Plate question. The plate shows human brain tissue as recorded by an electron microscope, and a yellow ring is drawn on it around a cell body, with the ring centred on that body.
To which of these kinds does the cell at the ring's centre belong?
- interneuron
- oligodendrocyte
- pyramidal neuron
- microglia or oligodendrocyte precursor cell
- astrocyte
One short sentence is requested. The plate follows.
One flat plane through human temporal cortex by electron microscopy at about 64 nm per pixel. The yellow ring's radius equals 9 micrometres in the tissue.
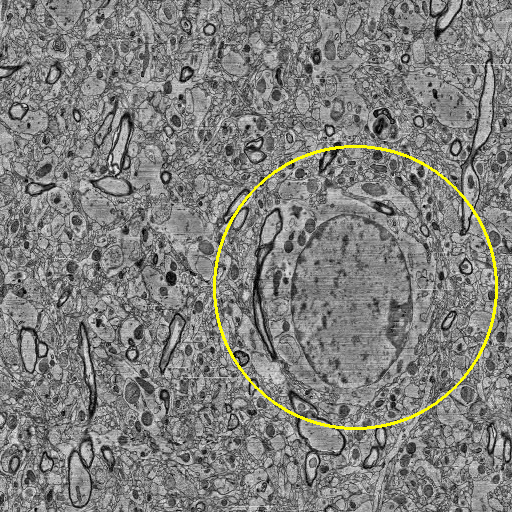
The cell at the ring's centre is an astrocyte.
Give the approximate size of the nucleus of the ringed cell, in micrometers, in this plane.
About 12 by 8 micrometers in this plane, so the nucleus is clearly longer than it is wide.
